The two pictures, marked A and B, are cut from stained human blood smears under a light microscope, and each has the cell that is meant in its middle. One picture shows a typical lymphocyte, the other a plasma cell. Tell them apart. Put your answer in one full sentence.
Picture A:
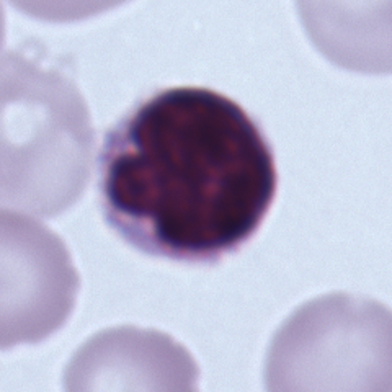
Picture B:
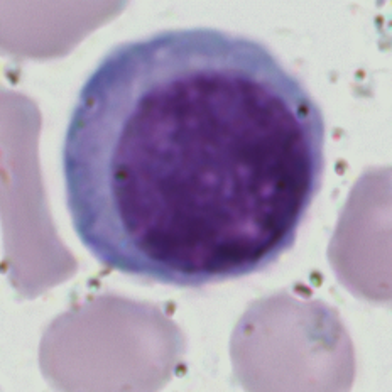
Picture A shows a typical lymphocyte and picture B shows a plasma cell.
